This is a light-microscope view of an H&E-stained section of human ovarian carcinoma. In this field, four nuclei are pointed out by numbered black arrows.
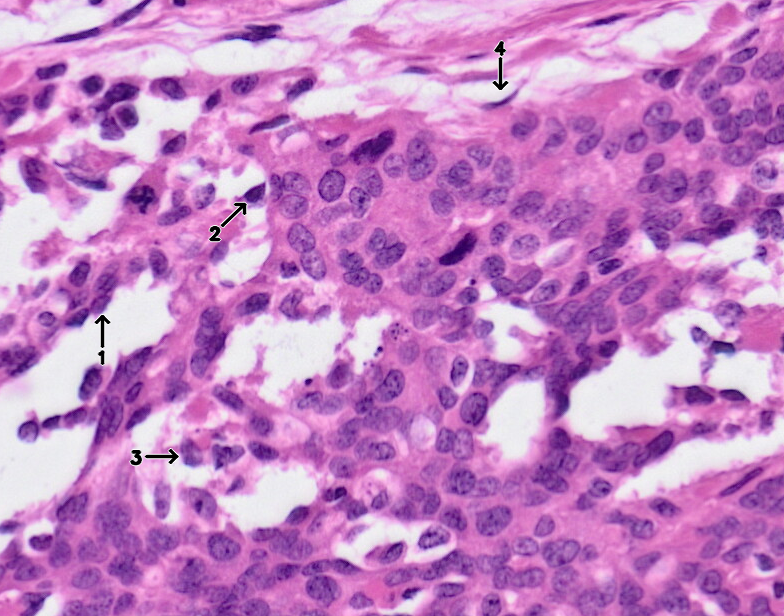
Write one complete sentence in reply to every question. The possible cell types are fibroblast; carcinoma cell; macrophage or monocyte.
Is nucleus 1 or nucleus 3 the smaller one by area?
With nucleus 3 about 1.5 times its size, nucleus 1 is the smaller of the two.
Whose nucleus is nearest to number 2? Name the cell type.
It is a carcinoma cell whose nucleus is nearest to number 2.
